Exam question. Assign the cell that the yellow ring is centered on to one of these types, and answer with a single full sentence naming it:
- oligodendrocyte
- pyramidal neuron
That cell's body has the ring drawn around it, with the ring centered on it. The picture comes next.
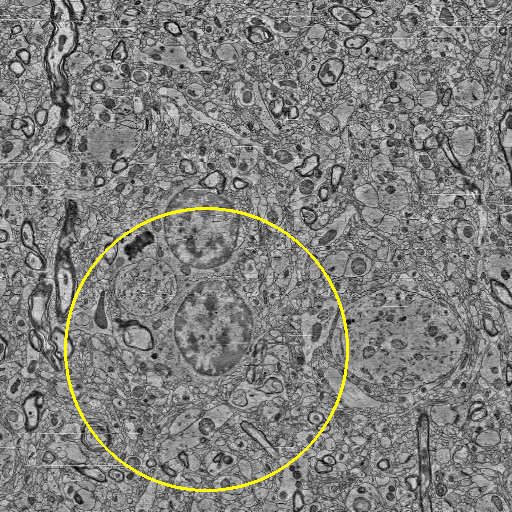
In the micrograph, the cell the yellow ring is centered on is an oligodendrocyte.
